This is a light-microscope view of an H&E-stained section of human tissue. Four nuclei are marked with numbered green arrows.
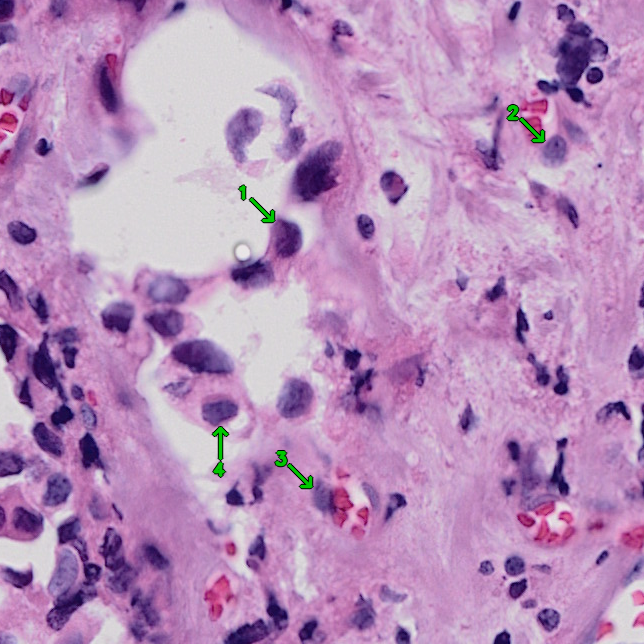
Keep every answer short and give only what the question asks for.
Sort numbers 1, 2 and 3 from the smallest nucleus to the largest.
3, 2, 1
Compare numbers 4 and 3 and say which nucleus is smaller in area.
3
